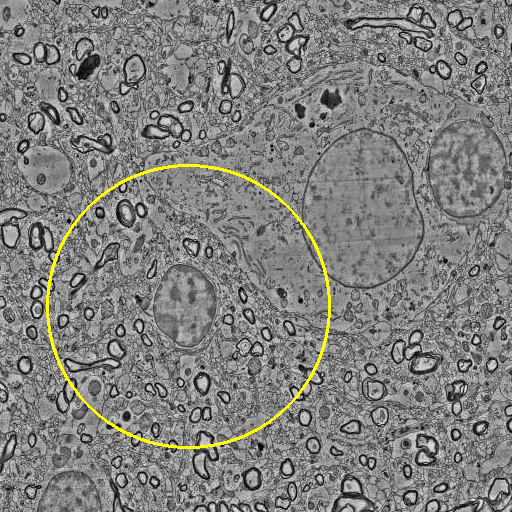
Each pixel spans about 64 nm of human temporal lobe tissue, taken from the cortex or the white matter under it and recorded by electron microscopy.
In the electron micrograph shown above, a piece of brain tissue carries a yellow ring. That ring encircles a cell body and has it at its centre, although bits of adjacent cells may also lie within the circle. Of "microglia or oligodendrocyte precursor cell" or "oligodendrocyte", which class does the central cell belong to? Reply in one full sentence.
The cell body at the centre of the yellow ring belongs to a microglial cell or oligodendrocyte precursor cell.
